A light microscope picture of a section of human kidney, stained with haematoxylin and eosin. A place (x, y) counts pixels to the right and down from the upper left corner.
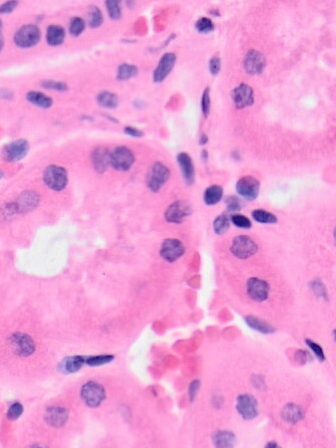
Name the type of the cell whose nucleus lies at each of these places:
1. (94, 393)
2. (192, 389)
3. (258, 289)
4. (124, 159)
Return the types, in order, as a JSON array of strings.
["proximal tubule cell", "endothelial cell", "proximal tubule cell", "proximal tubule cell"]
